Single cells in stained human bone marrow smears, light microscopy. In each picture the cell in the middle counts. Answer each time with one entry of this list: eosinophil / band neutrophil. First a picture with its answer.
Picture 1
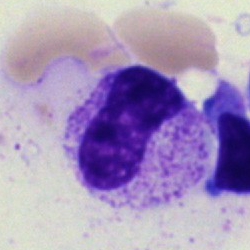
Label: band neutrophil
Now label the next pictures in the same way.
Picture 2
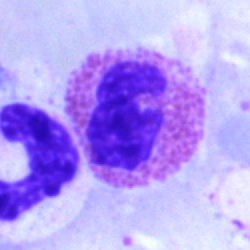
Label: eosinophil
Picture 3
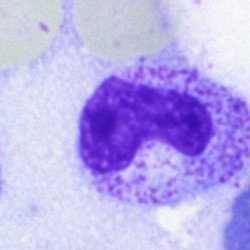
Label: band neutrophil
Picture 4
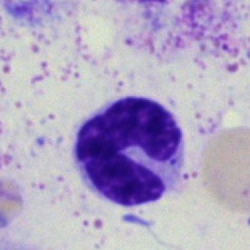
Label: band neutrophil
